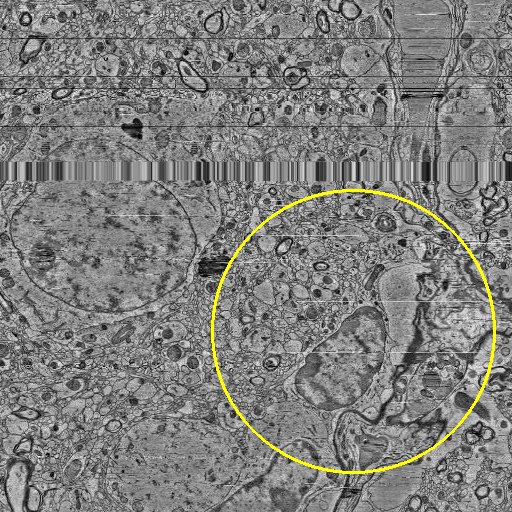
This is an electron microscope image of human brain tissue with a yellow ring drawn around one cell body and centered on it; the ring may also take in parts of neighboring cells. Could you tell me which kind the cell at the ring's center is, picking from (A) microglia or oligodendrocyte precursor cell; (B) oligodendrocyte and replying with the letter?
A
